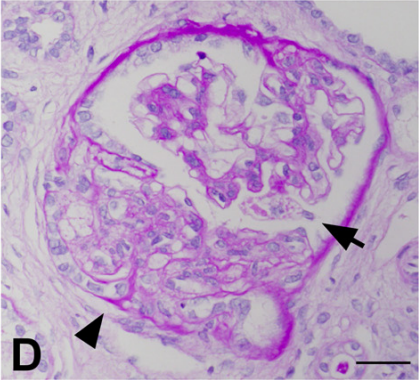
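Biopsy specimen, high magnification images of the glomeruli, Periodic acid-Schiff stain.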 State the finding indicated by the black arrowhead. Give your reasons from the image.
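The lower part of the tuft is solidified with magenta matrix and lies against the capsule. The upper part of the tuft keeps open capillary loops.
Hence: segmental sclerosis with increased matrix and adhesion.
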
